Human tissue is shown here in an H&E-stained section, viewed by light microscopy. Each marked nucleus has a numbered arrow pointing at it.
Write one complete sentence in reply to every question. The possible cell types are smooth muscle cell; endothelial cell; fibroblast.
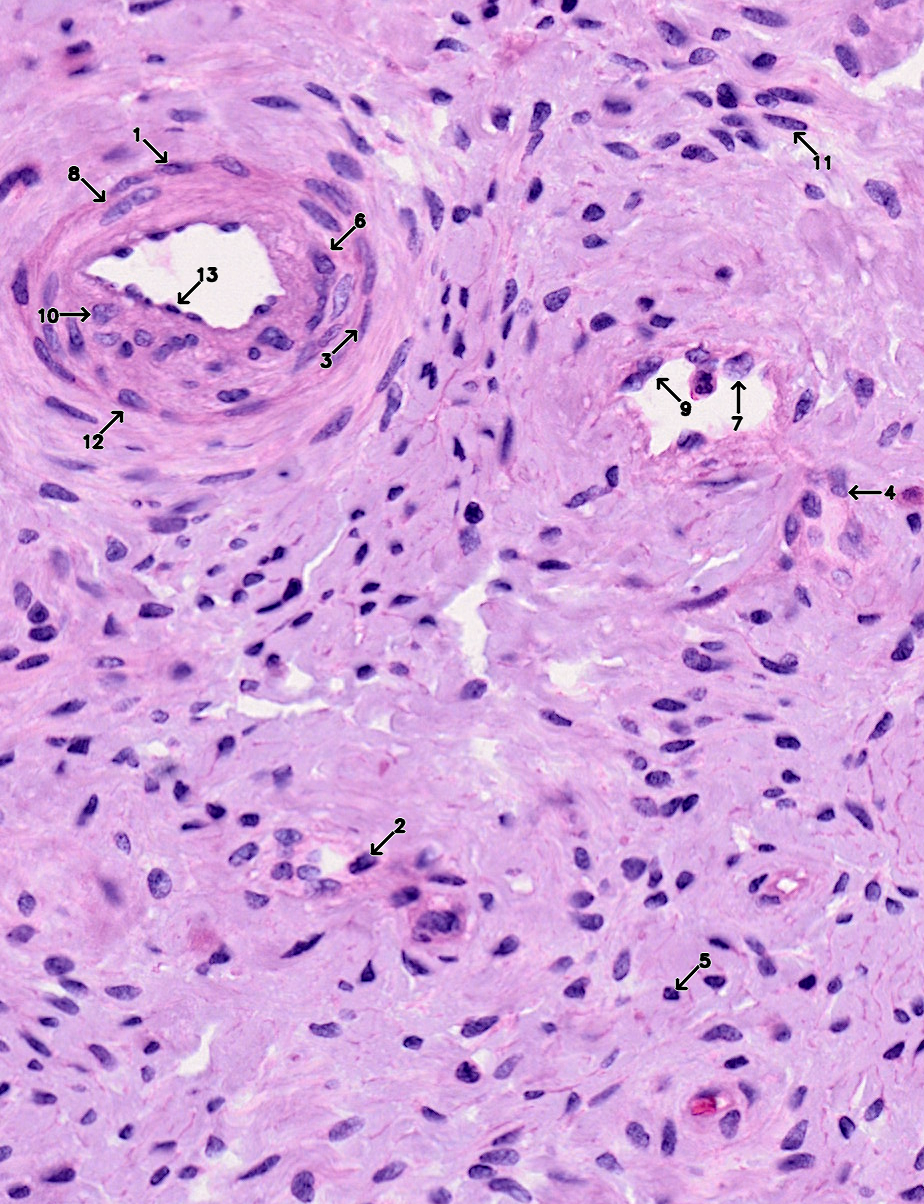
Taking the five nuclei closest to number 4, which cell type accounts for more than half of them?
Of the five nuclei nearest to number 4, most belong to endothelial cells.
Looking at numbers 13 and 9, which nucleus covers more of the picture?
Nucleus 9 is larger, with an area about 3 times that of nucleus 13.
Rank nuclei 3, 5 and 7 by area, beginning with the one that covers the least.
By area, going up from the smallest, they rank 5, 3, 7.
